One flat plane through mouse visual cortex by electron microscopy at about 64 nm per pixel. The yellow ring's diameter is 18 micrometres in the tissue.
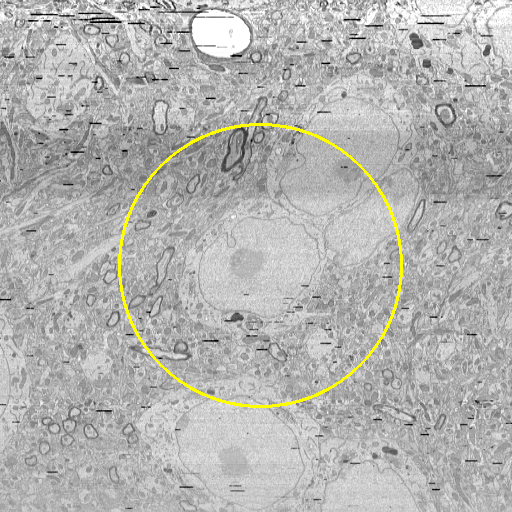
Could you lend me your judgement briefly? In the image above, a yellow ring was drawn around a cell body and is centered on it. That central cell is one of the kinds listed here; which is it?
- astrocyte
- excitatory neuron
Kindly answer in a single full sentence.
Going by the list, an excitatory neuron is the kind at the ring's center in the picture.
